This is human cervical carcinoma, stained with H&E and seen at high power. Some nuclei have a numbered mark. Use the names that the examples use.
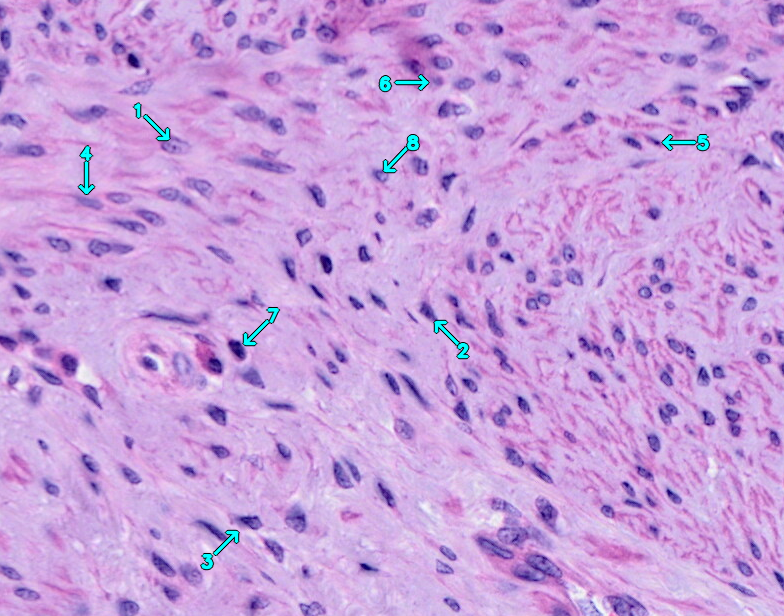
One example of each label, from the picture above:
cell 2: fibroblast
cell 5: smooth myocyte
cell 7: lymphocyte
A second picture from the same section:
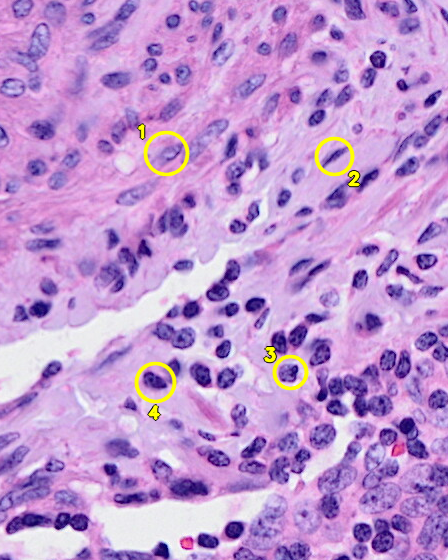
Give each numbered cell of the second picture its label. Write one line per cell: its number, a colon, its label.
1: smooth myocyte
2: fibroblast
3: lymphocyte
4: lymphocyte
